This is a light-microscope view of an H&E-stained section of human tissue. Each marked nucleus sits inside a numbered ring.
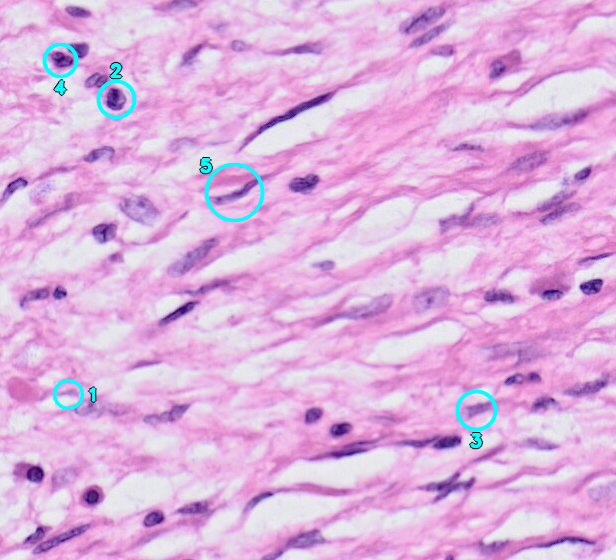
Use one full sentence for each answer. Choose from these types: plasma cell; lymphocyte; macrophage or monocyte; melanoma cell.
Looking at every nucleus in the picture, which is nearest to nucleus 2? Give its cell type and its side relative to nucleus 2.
It is a macrophage or monocyte, whose nucleus lies above and to the left of nucleus 2.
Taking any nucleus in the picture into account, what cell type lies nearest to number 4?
The cell nearest to number 4 is a lymphocyte.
